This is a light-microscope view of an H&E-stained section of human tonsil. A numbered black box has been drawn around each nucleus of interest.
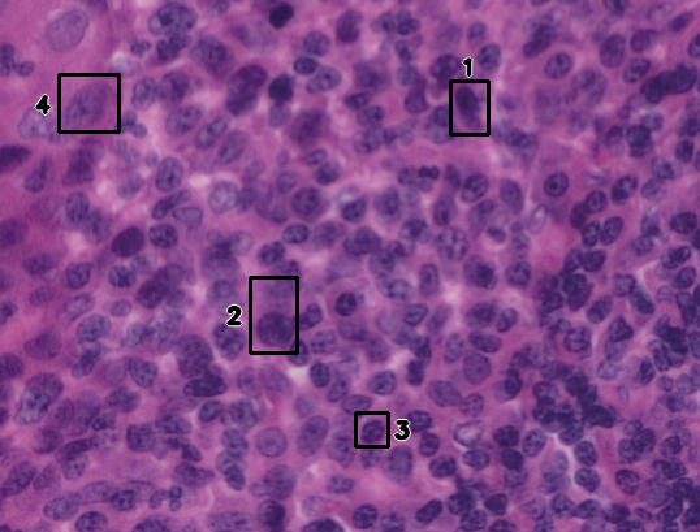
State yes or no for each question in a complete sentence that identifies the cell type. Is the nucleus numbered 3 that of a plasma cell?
Yes, the cell labelled with number 3 is a plasma cell.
